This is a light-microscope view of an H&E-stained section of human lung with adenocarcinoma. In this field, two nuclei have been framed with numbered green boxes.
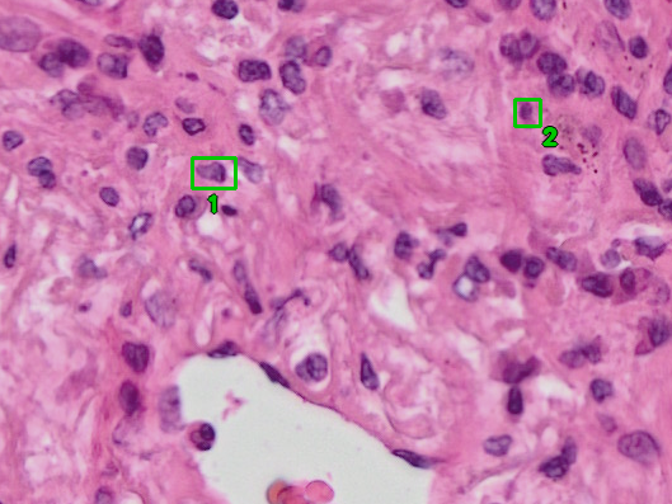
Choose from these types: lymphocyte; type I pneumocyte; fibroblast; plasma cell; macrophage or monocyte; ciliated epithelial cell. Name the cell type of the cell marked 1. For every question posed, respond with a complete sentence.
Regarding cell 1, this one is a lymphocyte.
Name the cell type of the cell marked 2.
Recognised here as a plasma cell is the cell numbered 2.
